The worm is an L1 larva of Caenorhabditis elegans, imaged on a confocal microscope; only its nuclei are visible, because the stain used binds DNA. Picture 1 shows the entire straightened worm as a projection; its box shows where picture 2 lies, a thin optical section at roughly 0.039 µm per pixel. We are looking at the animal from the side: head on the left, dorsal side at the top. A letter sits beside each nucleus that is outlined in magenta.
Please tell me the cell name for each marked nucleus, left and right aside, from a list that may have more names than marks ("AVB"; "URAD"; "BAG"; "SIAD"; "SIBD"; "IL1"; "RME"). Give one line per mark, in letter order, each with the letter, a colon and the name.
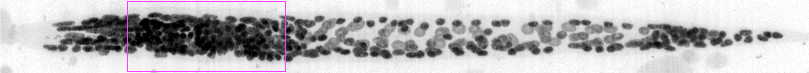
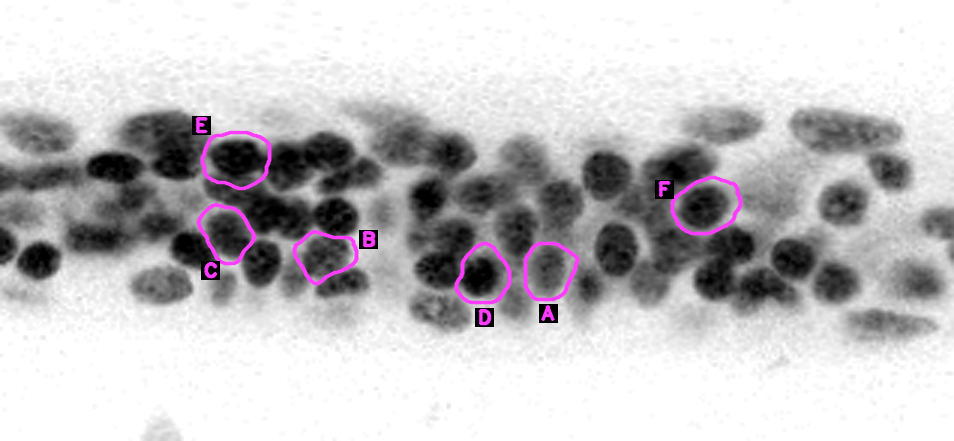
A: SIAD
B: BAG
C: IL1
D: SIBD
E: URAD
F: AVB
